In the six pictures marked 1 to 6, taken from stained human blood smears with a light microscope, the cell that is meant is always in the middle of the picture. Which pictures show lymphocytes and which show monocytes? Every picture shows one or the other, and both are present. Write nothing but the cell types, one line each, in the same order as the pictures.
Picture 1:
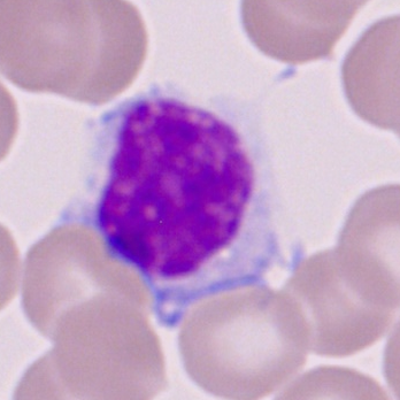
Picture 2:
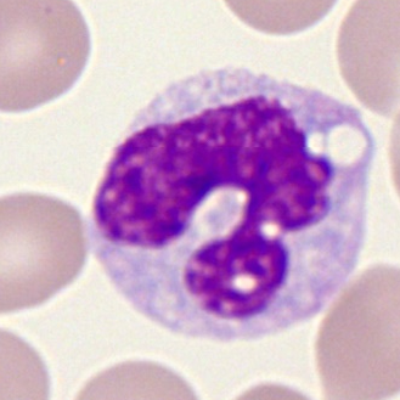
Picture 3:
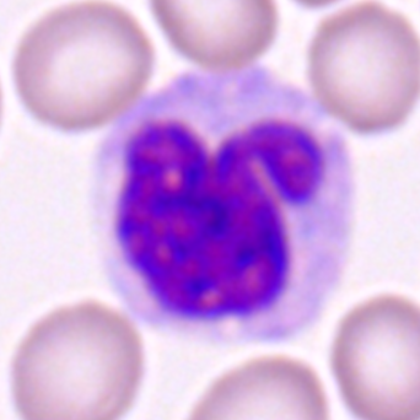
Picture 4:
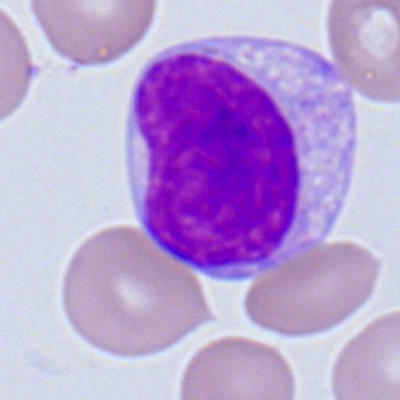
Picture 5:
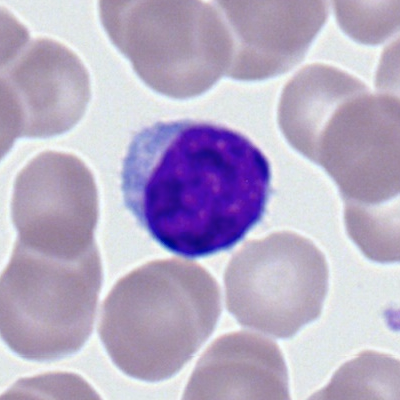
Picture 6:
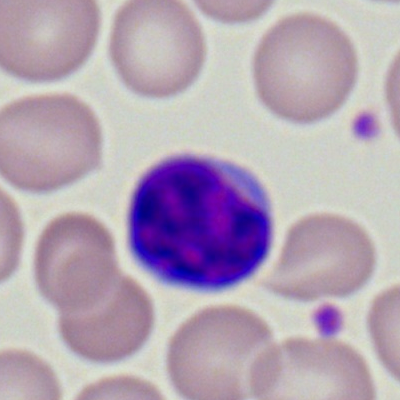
lymphocyte
monocyte
monocyte
lymphocyte
lymphocyte
lymphocyte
